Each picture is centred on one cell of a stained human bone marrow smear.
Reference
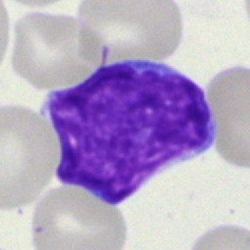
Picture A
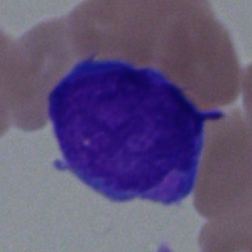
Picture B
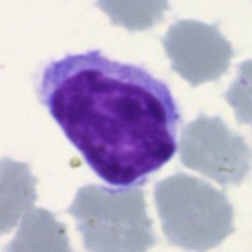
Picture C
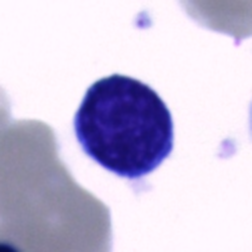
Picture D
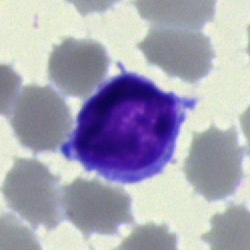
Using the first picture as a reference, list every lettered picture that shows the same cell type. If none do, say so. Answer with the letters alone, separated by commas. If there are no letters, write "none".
A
